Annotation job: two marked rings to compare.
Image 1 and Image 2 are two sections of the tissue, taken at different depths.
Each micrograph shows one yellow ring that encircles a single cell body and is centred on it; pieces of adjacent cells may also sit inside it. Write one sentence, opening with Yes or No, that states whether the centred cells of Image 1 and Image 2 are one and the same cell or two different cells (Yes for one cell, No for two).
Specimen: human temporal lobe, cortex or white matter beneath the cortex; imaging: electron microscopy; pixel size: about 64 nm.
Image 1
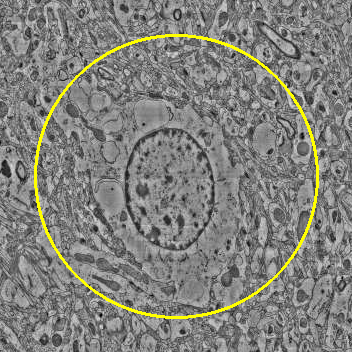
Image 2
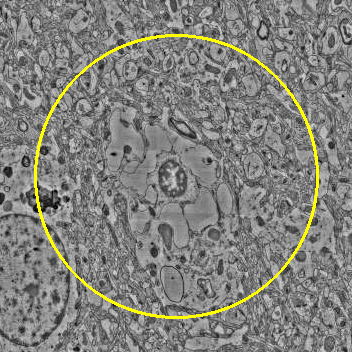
Yes, the same individual cell is enclosed by both rings.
